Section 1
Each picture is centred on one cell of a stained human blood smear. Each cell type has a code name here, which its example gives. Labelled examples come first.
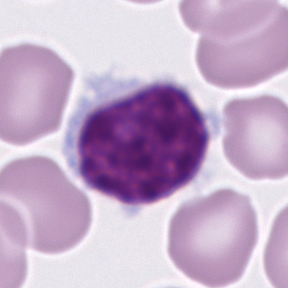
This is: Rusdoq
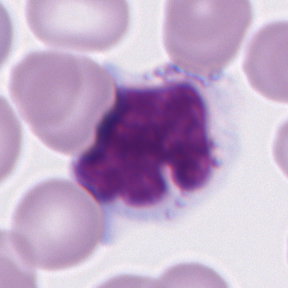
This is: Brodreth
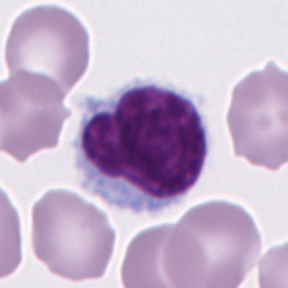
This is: Rusdoq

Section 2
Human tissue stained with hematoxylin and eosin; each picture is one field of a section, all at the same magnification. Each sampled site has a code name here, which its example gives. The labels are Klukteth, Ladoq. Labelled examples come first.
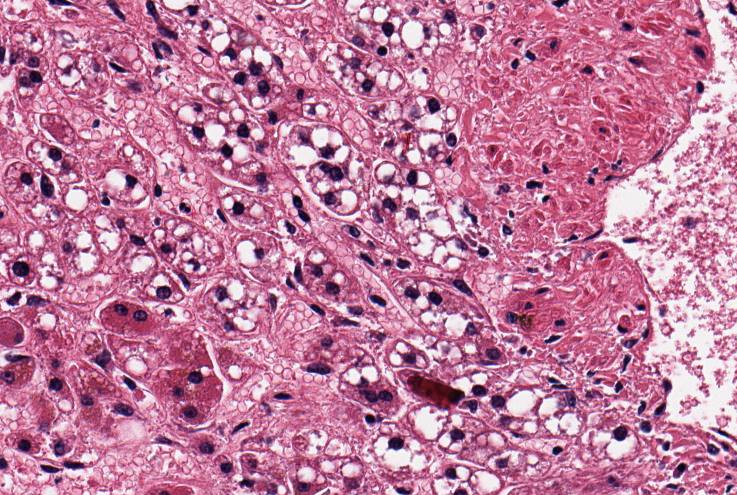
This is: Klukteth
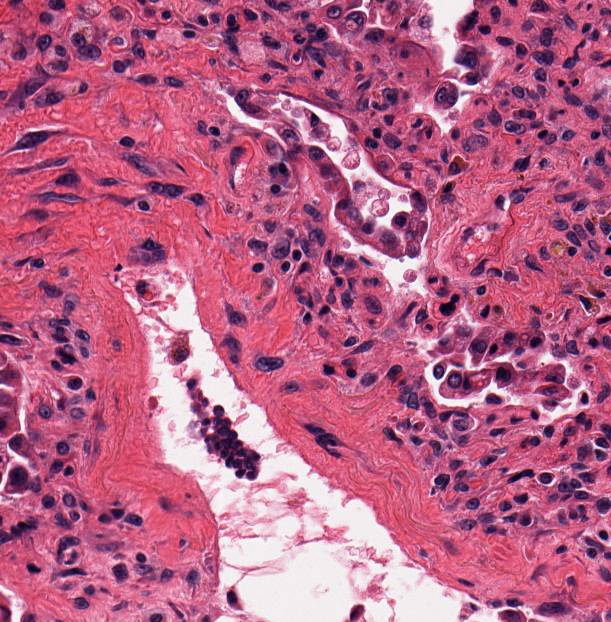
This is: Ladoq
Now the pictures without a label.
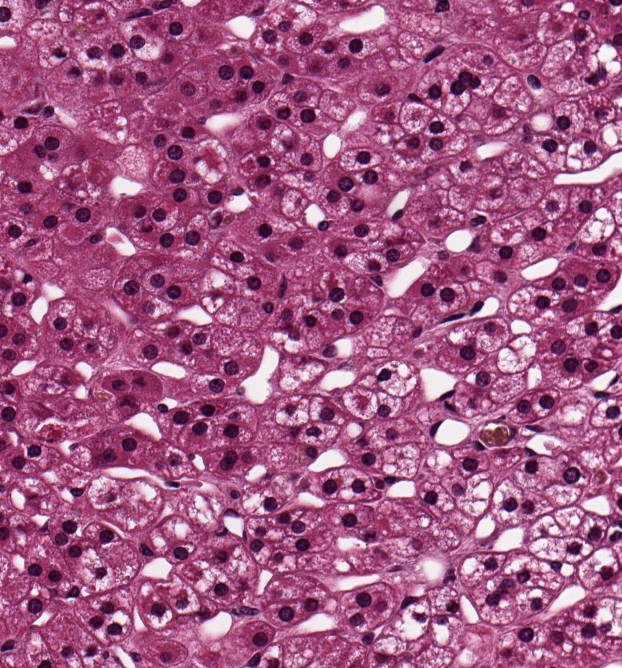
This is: Klukteth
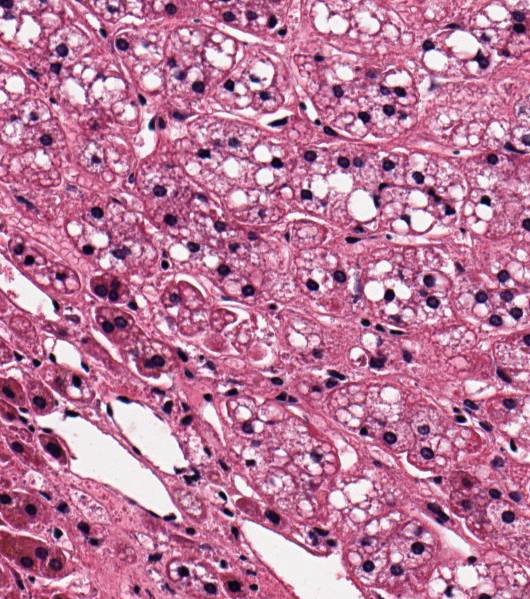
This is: Klukteth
